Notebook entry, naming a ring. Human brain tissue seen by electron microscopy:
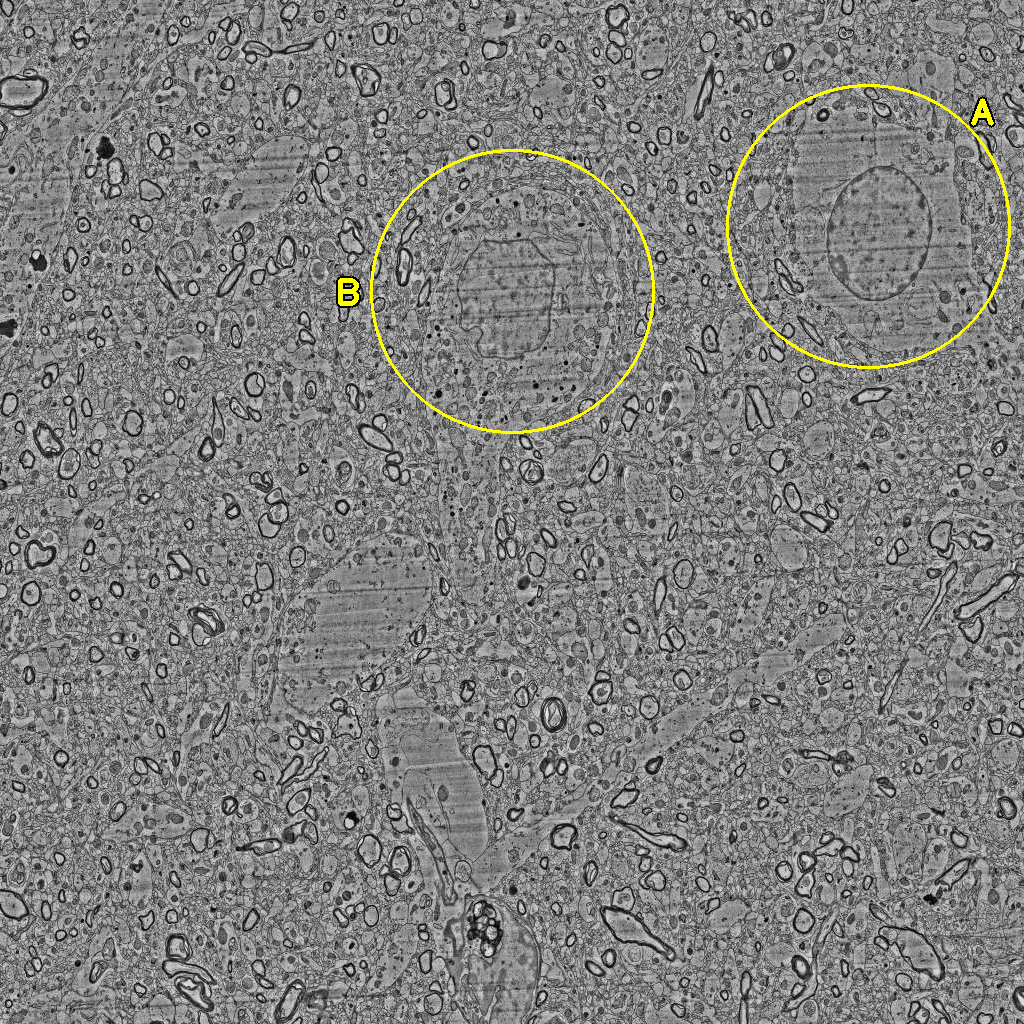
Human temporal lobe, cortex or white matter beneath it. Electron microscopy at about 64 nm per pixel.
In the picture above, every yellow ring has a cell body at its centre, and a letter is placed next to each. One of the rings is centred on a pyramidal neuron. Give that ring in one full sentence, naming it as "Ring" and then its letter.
Ring B is the ring whose centre holds the cell asked for.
